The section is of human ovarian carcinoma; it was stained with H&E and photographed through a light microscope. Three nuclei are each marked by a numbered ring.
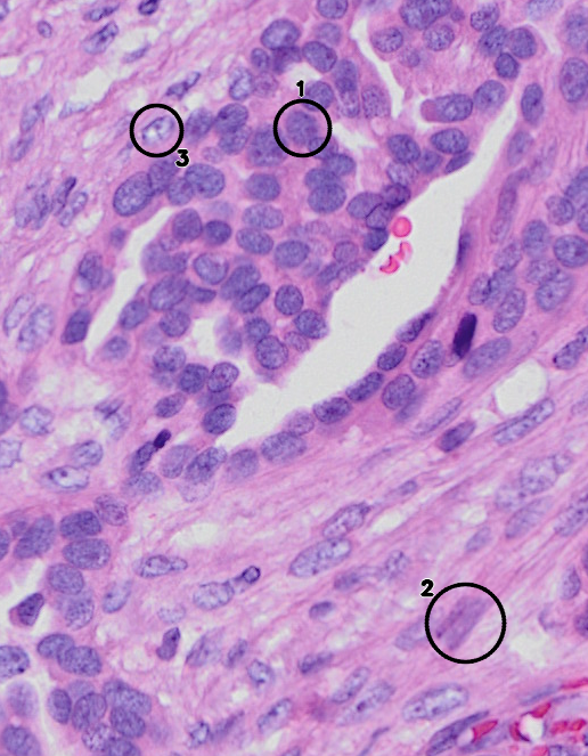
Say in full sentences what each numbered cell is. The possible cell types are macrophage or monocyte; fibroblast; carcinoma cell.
Cell 1 is a carcinoma cell, cell 2 is a fibroblast and cell 3 is a fibroblast.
